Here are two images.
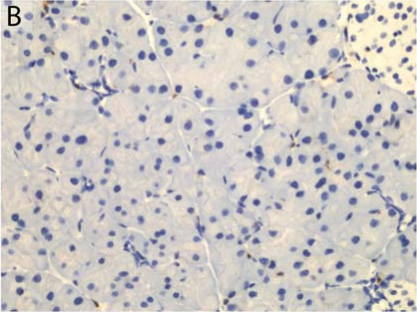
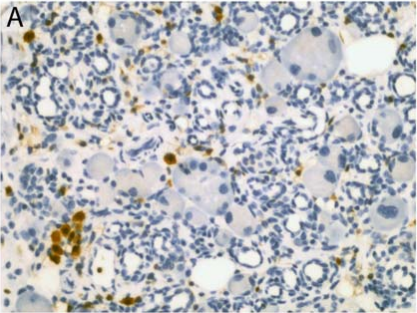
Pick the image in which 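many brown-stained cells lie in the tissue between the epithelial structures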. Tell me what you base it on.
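First image: sheets of acinar cells with only a few faint brown specks in thin septa. Second image: numerous brown cells, some in clusters, scattered between tubules and acini.
Hence: the second image.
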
